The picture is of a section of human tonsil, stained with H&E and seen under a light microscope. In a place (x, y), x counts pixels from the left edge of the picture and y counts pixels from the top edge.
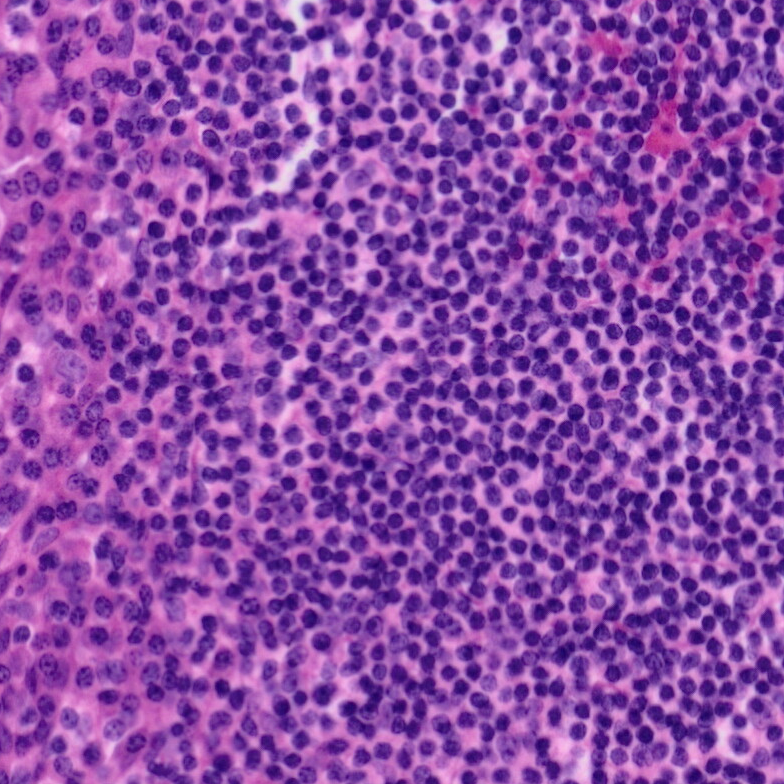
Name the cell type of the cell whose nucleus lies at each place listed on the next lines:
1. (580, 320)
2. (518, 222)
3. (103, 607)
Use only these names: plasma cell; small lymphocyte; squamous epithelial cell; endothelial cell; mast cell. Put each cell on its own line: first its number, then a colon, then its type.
1: small lymphocyte
2: small lymphocyte
3: plasma cell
